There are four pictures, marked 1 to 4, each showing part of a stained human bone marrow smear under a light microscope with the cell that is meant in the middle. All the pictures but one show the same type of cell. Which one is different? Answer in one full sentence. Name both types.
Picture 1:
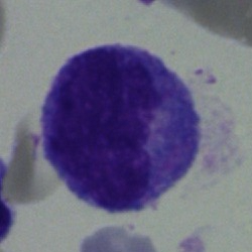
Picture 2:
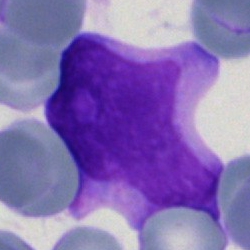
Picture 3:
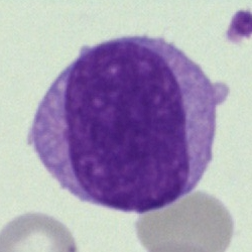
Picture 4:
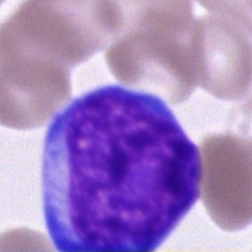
The others show blasts, but picture 1 shows a promyelocyte.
